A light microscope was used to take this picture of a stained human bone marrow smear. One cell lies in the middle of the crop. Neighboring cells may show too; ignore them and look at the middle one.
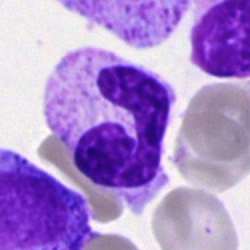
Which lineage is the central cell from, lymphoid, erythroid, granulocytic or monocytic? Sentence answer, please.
In this crop the cell in the center is part of the granulocytic lineage.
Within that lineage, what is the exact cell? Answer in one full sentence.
In this crop, the cell at the very middle is a segmented neutrophil.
